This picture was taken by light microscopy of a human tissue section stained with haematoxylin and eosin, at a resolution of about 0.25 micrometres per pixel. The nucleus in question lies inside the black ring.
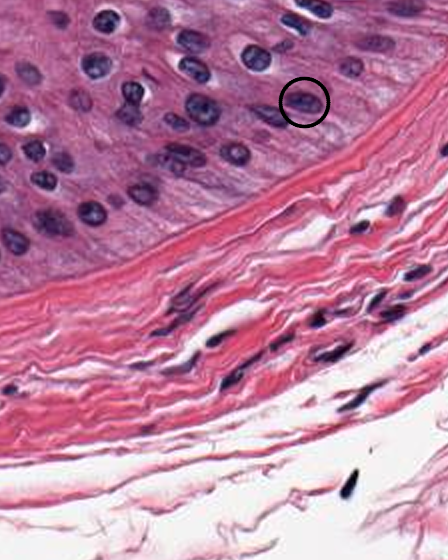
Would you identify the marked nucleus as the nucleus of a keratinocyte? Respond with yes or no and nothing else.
yes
